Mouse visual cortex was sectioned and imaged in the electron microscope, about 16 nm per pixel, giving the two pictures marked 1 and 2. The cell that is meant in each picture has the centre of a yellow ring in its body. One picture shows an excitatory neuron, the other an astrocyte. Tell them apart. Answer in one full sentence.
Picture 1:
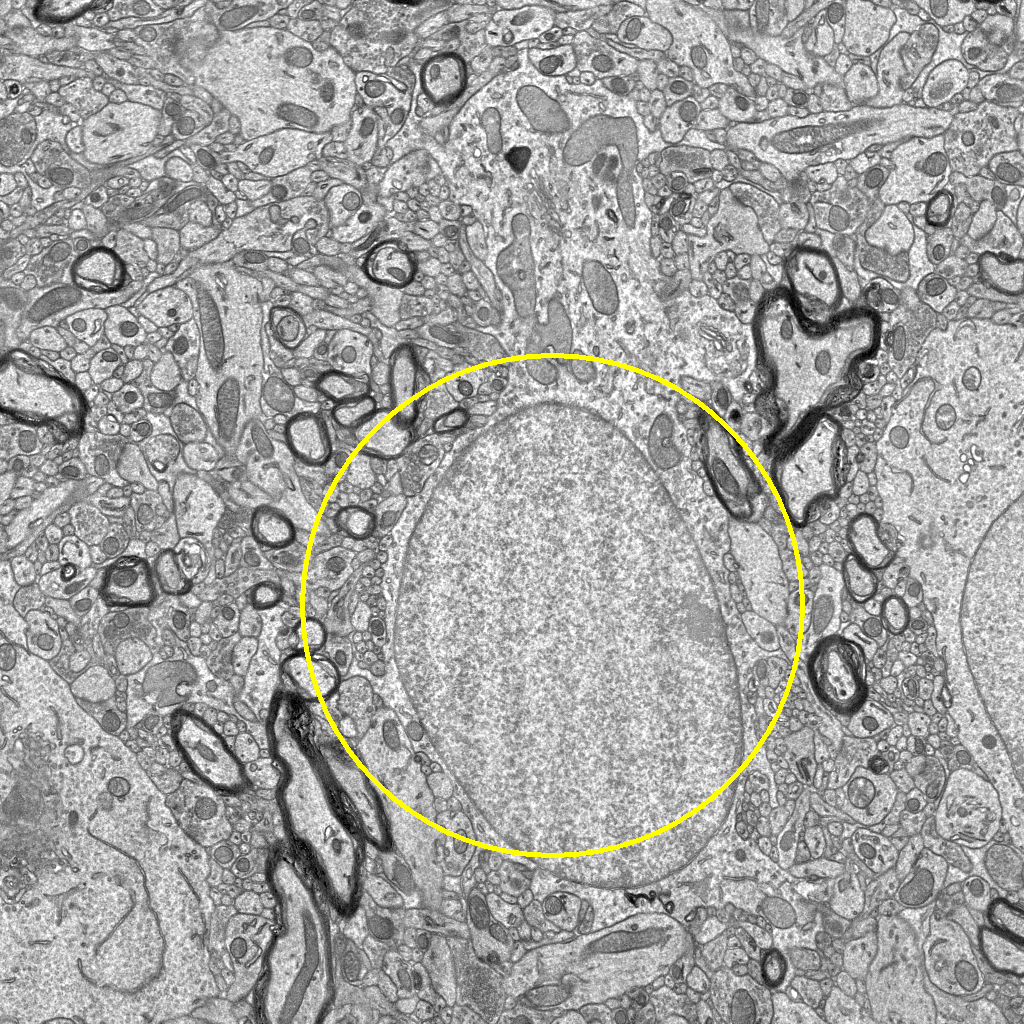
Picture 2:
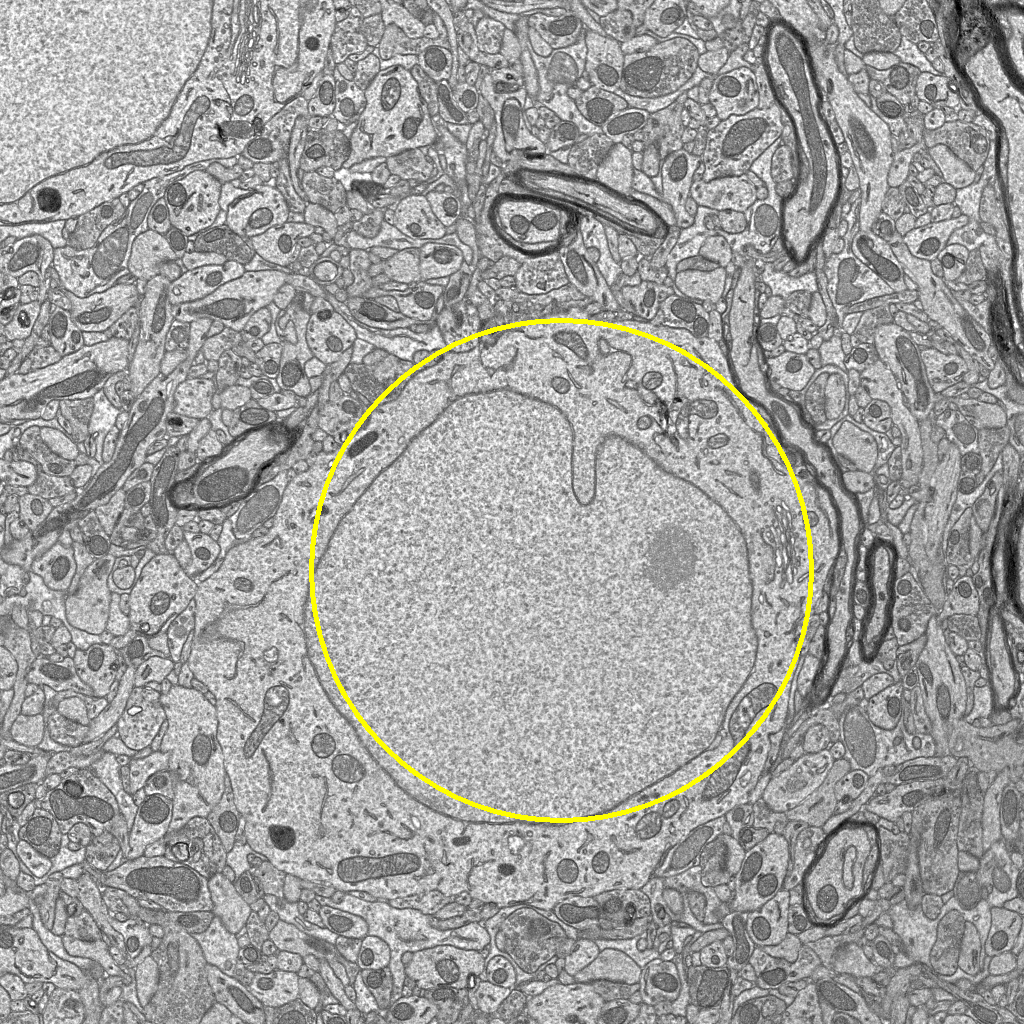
Picture 1 shows an astrocyte and picture 2 shows an excitatory neuron.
